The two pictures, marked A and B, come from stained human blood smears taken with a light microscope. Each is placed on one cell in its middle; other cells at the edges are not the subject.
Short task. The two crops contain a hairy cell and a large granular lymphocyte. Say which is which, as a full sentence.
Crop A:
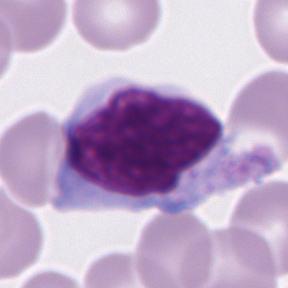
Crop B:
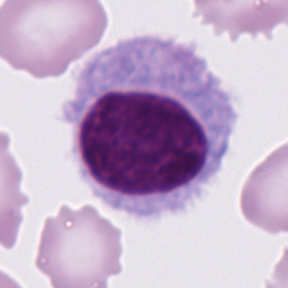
Crop A and crop B are a large granular lymphocyte and a hairy cell, in that order.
